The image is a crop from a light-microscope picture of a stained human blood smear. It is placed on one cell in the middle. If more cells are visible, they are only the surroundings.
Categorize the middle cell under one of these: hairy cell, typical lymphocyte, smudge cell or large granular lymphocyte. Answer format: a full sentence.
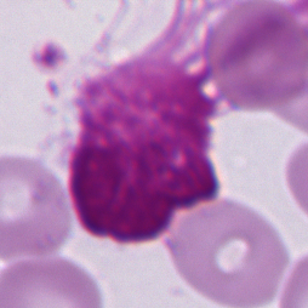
Present in the middle of the crop is a smudge cell.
